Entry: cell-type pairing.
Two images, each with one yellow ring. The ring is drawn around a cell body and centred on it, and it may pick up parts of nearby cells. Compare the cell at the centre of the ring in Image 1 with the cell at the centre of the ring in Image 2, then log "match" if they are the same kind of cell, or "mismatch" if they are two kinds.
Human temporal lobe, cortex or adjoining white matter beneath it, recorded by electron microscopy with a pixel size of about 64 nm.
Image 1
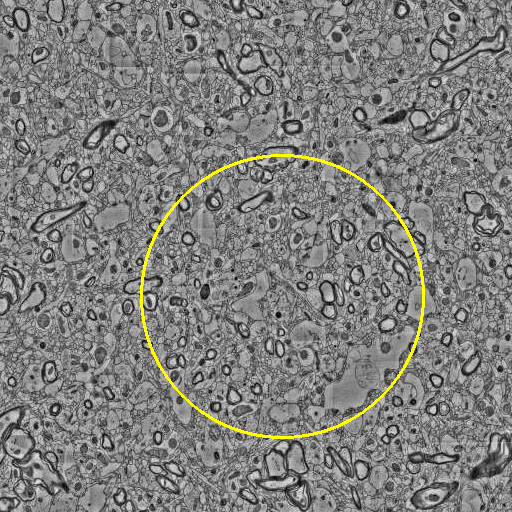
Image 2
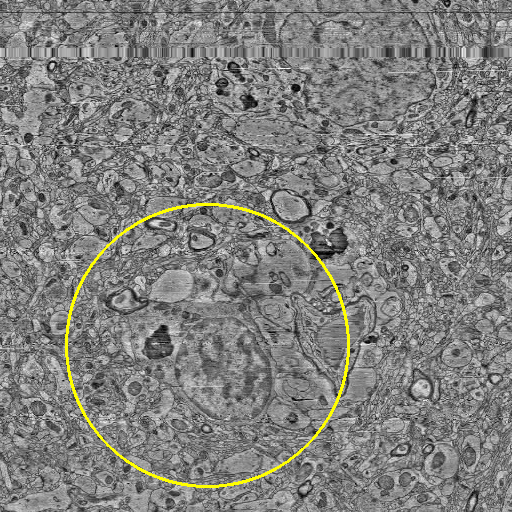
mismatch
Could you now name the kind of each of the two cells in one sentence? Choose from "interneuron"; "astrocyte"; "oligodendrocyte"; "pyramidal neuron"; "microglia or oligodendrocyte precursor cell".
The first ring encloses a microglial cell or oligodendrocyte precursor cell; the second ring encloses an oligodendrocyte.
